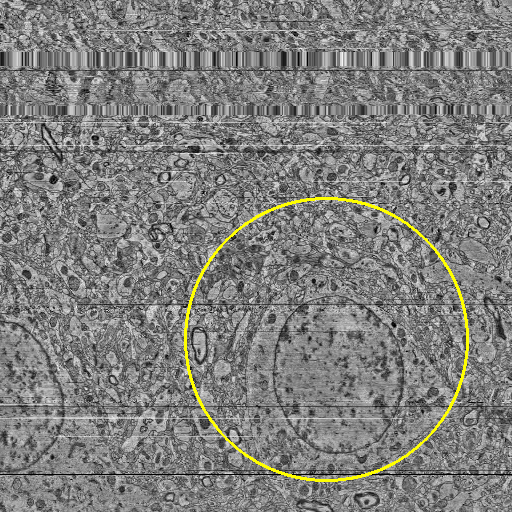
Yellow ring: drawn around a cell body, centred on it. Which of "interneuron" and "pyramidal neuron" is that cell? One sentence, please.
That cell body is from a pyramidal neuron.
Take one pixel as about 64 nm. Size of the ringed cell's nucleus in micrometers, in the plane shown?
The nucleus has a long axis of about 10 micrometres and a short axis of about 8 micrometres in this plane.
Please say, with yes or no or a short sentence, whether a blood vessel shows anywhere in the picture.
No, no vessel appears in the picture.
